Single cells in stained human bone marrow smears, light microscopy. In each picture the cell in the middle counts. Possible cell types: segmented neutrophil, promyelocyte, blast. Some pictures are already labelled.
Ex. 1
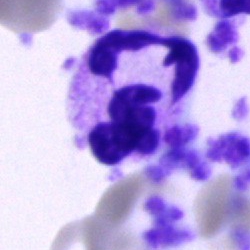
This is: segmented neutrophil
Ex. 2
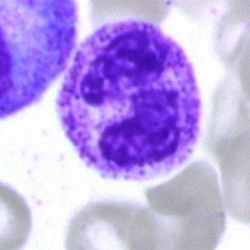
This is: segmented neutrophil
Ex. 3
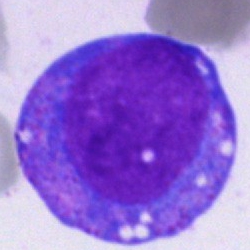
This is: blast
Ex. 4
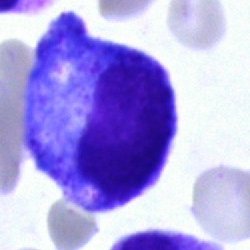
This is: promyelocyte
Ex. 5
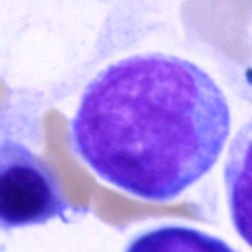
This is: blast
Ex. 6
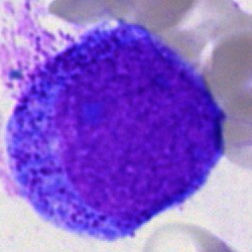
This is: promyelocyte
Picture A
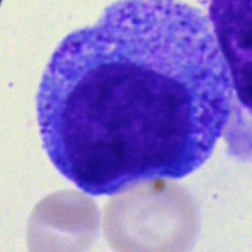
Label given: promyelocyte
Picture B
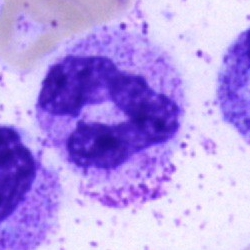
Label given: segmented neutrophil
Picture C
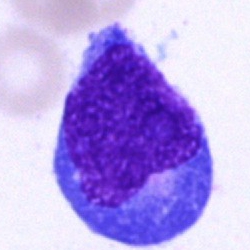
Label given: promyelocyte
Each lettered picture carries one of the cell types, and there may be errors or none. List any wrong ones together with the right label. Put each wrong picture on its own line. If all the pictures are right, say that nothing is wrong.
C: change promyelocyte to blast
